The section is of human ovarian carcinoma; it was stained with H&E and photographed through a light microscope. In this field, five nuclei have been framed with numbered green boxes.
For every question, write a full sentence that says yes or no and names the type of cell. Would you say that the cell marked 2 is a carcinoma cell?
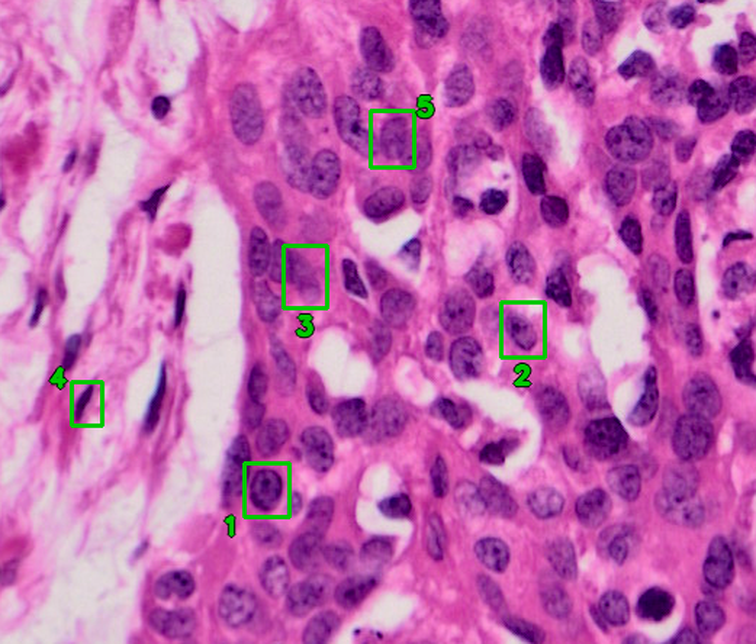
No, the cell indicated by 2 is a macrophage or monocyte instead of a carcinoma cell.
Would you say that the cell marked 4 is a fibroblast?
Yes, the one with the number 4 is a fibroblast.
